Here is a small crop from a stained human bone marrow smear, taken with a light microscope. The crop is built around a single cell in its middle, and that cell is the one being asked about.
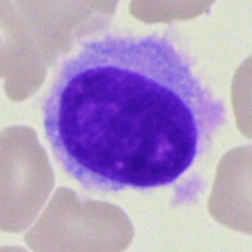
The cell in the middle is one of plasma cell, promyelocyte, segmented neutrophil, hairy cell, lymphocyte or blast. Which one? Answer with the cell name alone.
hairy cell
